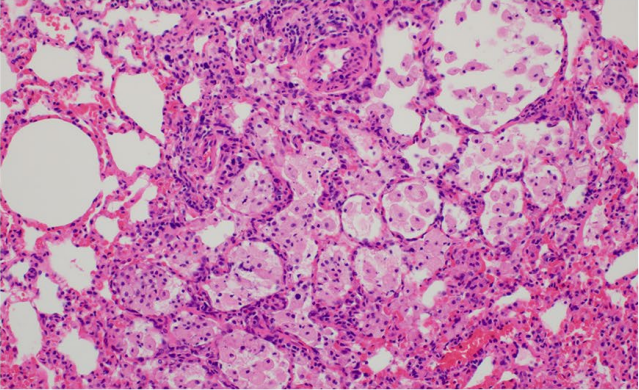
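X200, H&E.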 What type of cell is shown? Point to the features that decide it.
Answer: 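Rounded nests of large cells with pale, finely vacuolated pink cytoplasm fill air spaces. Their nuclei are small and bland. The nests are separated by thickened cellular septa. On this evidence: foamy histiocytes.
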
